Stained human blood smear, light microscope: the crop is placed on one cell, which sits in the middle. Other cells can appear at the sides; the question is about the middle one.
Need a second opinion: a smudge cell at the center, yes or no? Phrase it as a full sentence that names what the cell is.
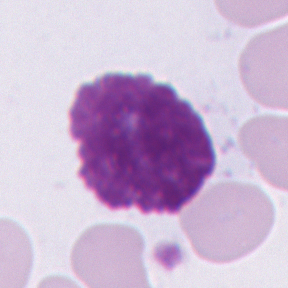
Yes, the cell in the center of the field is a smudge cell.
